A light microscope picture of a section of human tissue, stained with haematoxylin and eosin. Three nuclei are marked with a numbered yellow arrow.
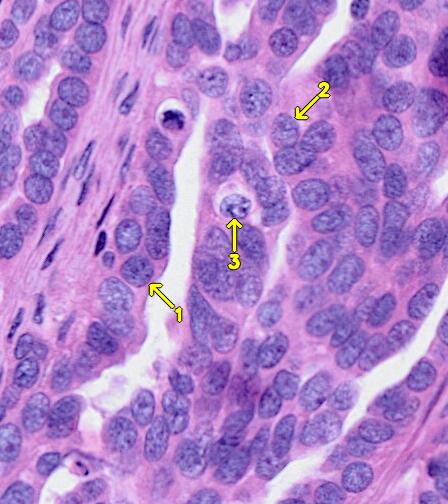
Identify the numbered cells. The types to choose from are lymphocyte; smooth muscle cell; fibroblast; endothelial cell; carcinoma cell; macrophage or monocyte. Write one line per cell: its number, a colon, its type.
1: carcinoma cell
2: carcinoma cell
3: macrophage or monocyte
